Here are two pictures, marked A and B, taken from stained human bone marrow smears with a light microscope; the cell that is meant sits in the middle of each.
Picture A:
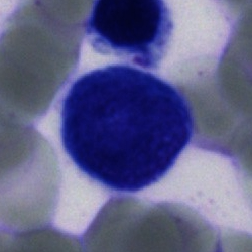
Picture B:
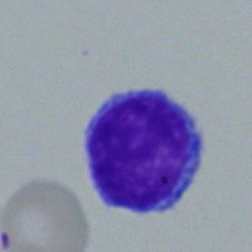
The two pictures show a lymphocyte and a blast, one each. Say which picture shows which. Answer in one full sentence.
Picture B shows a lymphocyte, while picture A shows a blast.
